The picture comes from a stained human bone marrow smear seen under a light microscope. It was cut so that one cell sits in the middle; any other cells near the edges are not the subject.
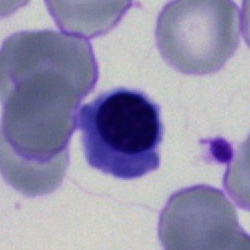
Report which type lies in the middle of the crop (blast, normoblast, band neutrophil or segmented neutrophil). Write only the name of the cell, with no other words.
normoblast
